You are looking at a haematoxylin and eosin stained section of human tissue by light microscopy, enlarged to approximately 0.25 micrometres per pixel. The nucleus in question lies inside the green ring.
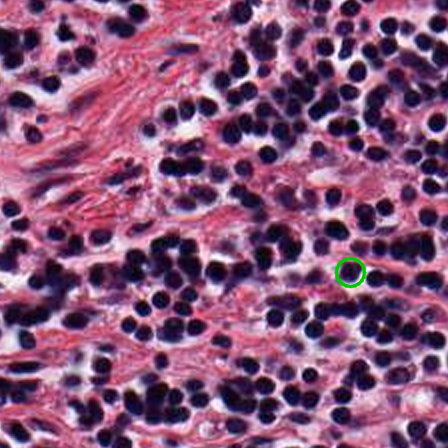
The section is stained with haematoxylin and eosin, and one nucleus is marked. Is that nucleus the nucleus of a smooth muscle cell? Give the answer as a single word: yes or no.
no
